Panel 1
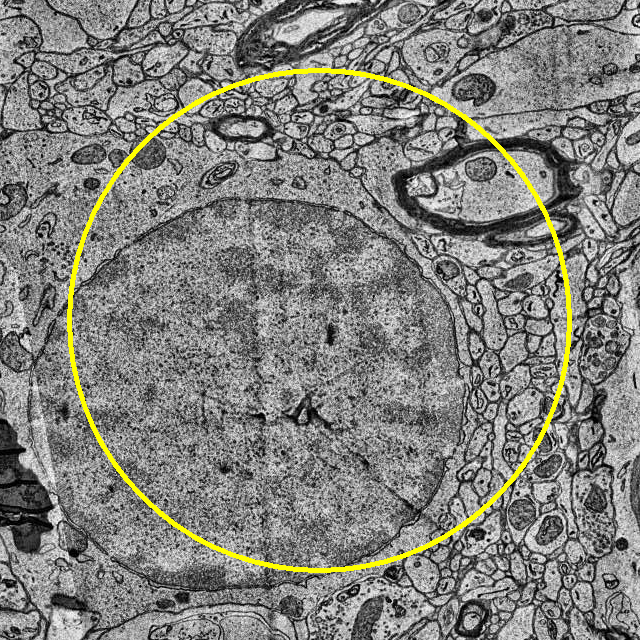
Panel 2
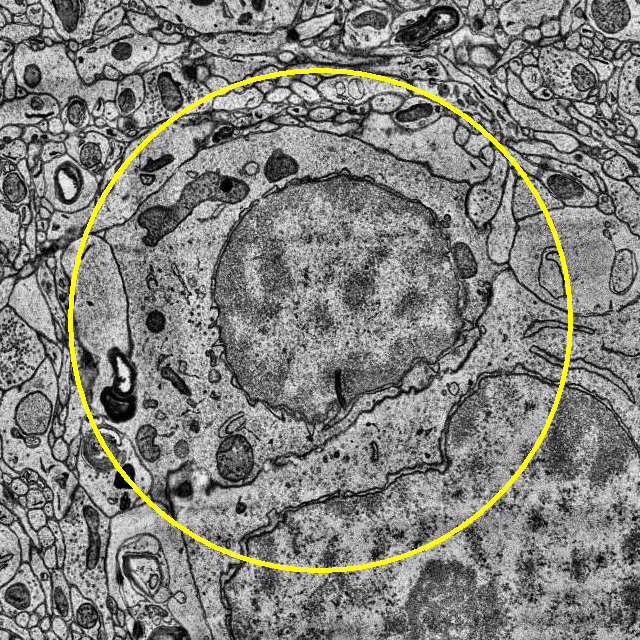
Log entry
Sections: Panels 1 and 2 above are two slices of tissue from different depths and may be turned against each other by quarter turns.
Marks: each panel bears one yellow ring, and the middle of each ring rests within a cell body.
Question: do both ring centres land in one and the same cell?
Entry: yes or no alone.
yes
